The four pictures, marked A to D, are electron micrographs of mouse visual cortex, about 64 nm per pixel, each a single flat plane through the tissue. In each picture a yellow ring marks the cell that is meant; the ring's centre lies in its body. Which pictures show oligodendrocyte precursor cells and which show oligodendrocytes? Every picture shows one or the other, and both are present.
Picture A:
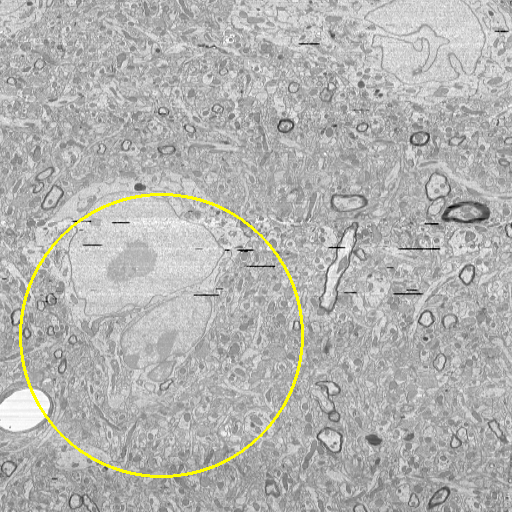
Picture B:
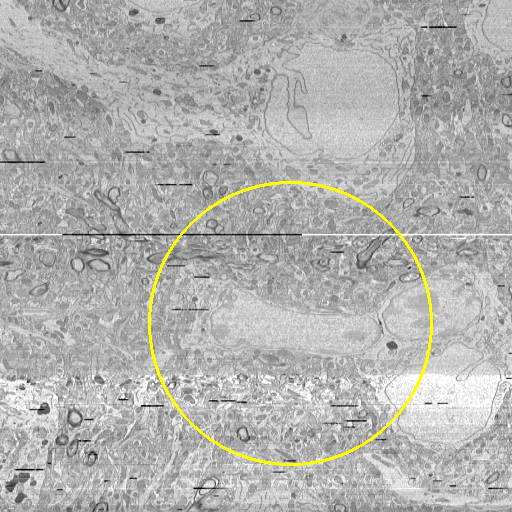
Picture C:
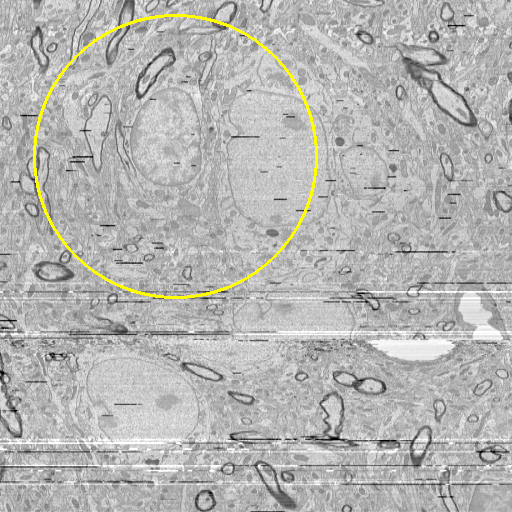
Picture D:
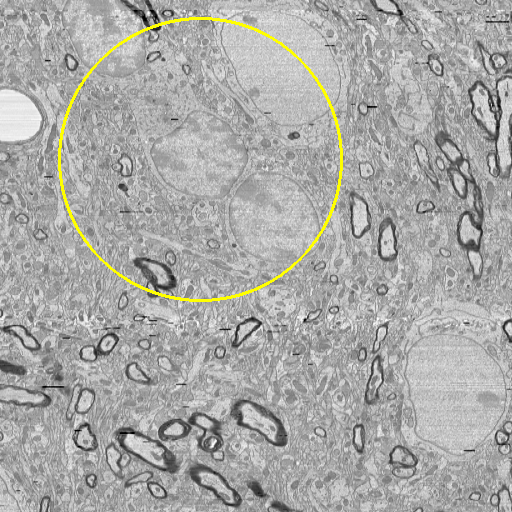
Pictures A and B show oligodendrocyte precursor cells, and pictures C and D show oligodendrocytes.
